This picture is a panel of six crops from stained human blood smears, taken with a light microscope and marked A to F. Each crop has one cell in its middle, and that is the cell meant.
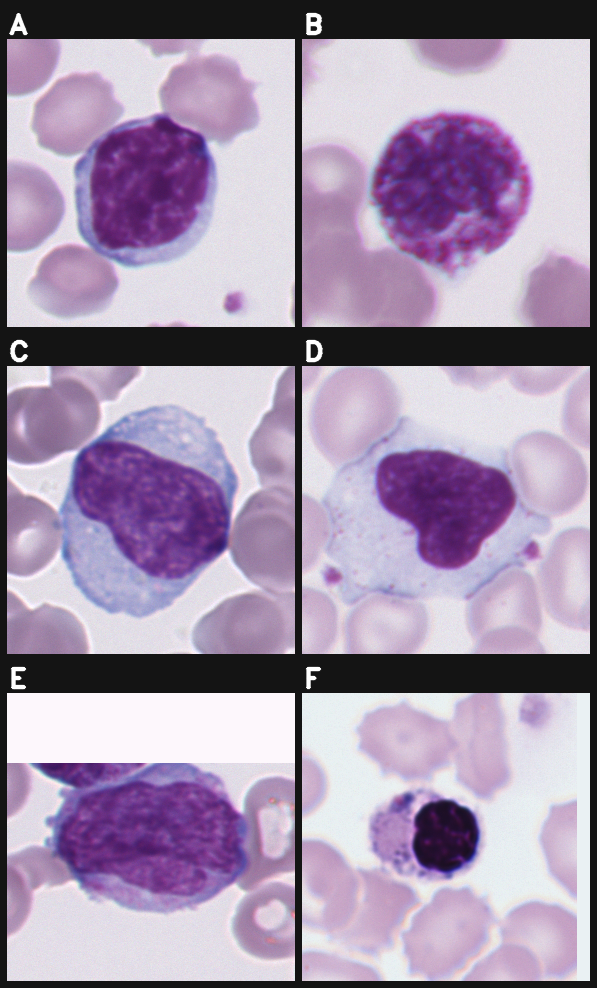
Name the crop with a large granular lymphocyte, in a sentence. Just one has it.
Crop D shows a large granular lymphocyte, and no other crop does.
